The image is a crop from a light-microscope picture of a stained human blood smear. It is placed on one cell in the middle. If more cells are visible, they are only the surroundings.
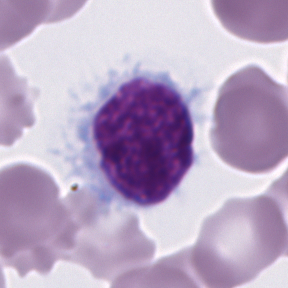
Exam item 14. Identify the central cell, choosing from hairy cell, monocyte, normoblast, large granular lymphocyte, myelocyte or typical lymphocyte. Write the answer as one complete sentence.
The centrally located cell in the crop is a hairy cell.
